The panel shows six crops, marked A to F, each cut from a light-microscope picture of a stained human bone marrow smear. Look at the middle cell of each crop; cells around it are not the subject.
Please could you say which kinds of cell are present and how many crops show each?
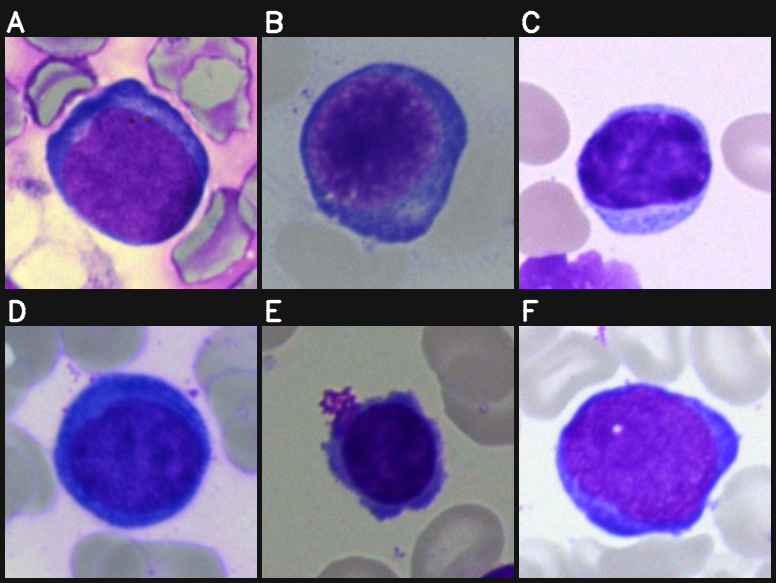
proerythroblast: 4
lymphocyte: 2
